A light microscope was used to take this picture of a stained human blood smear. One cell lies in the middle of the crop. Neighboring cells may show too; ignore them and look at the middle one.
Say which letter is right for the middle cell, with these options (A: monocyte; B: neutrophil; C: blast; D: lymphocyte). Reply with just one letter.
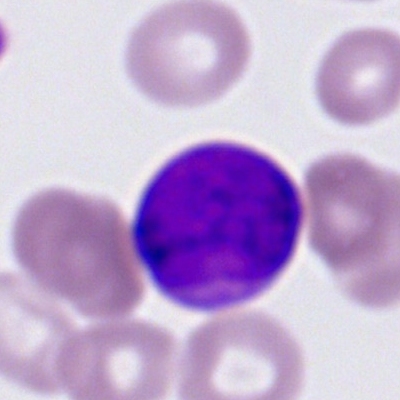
C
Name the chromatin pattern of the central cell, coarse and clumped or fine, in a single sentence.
Its chromatin is clumped in a coarse pattern.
